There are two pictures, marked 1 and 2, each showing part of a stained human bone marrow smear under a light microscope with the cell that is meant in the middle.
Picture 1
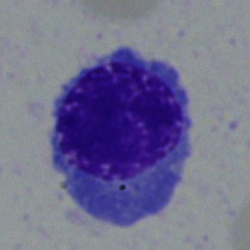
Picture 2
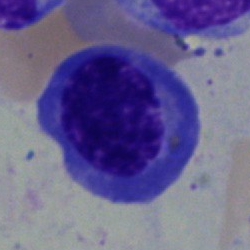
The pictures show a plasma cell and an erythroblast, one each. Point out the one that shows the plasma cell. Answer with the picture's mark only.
1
